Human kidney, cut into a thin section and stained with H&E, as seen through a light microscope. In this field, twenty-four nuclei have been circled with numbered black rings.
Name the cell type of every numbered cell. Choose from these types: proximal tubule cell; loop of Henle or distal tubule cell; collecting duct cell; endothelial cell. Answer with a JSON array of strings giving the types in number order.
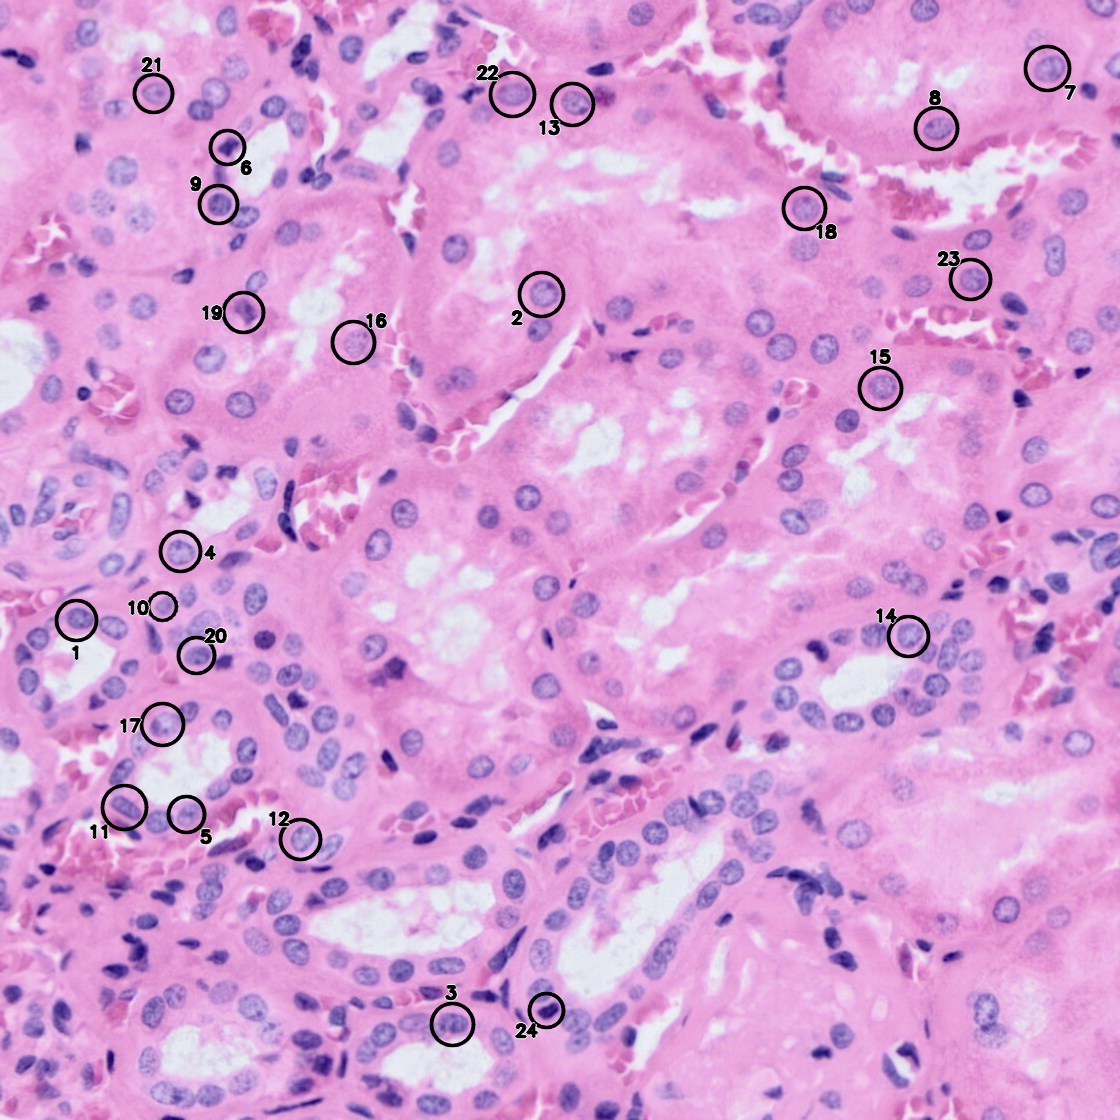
["collecting duct cell", "proximal tubule cell", "collecting duct cell", "collecting duct cell", "collecting duct cell", "collecting duct cell", "proximal tubule cell", "proximal tubule cell", "collecting duct cell", "collecting duct cell", "collecting duct cell", "collecting duct cell", "proximal tubule cell", "collecting duct cell", "proximal tubule cell", "proximal tubule cell", "collecting duct cell", "proximal tubule cell", "proximal tubule cell", "collecting duct cell", "proximal tubule cell", "proximal tubule cell", "proximal tubule cell", "collecting duct cell"]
